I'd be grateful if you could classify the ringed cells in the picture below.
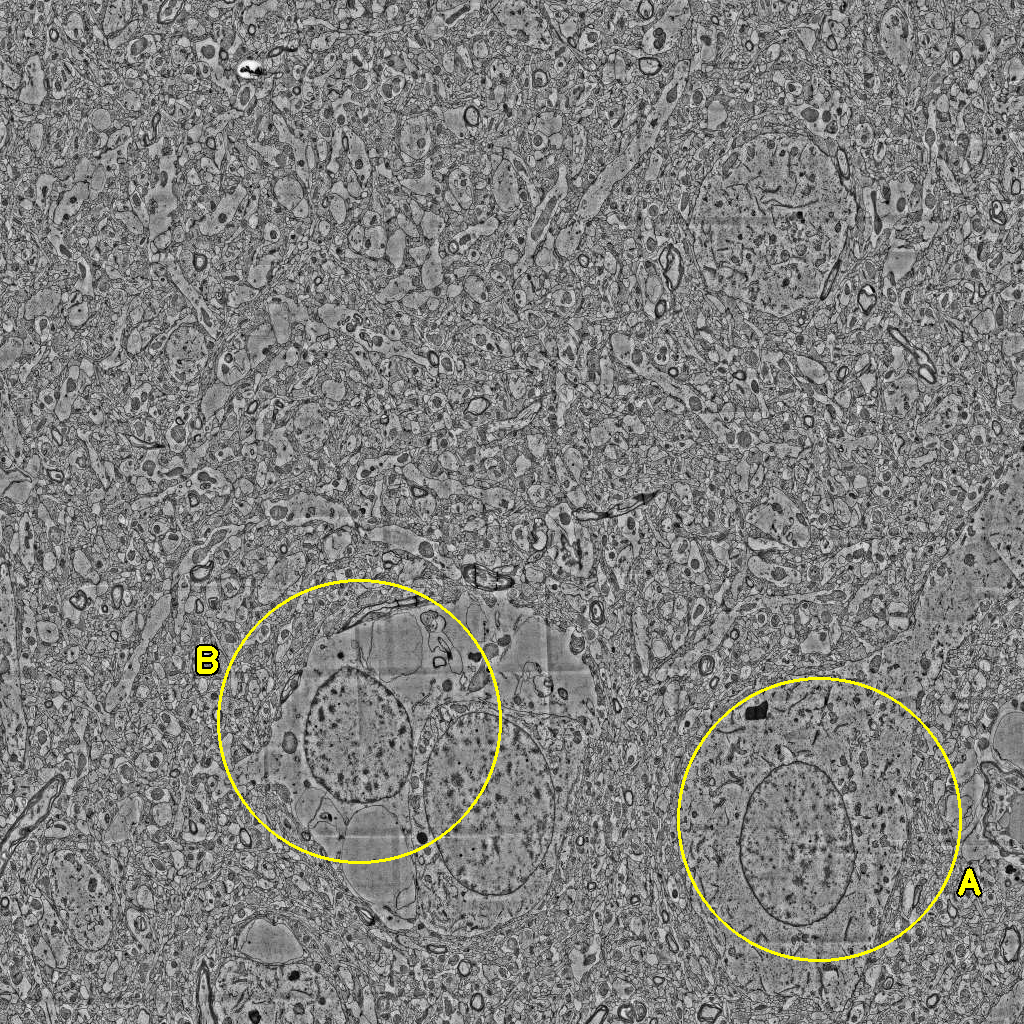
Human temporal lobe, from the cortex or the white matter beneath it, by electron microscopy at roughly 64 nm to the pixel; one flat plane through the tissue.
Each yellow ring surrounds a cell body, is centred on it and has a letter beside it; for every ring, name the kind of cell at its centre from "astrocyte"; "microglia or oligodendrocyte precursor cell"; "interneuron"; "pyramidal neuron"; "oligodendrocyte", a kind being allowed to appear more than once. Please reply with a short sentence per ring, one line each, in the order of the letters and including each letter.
In ring A we have a pyramidal neuron.
In ring B we have an astrocyte.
